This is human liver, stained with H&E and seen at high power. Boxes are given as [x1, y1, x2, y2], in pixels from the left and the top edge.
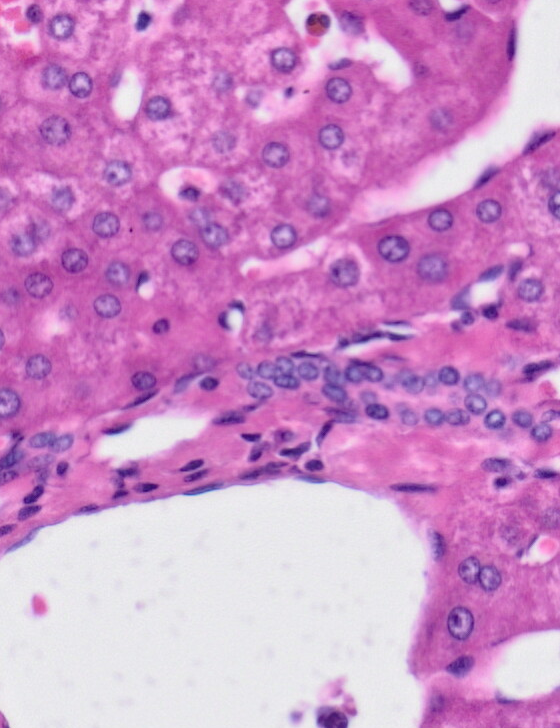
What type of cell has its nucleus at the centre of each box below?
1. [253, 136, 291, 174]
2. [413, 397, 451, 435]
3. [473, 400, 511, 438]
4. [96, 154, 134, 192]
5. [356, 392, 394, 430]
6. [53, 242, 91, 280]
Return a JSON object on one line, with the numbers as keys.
{"1": "hepatocyte", "2": "cholangiocyte", "3": "cholangiocyte", "4": "hepatocyte", "5": "cholangiocyte", "6": "hepatocyte"}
